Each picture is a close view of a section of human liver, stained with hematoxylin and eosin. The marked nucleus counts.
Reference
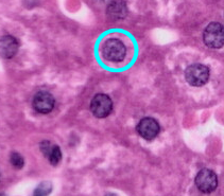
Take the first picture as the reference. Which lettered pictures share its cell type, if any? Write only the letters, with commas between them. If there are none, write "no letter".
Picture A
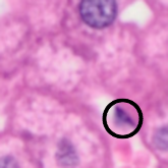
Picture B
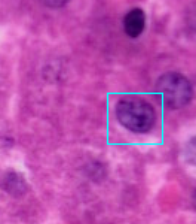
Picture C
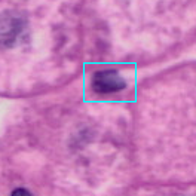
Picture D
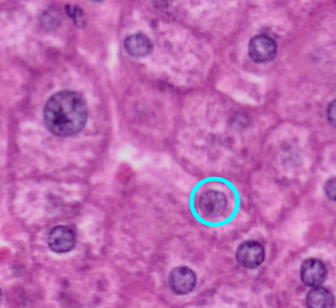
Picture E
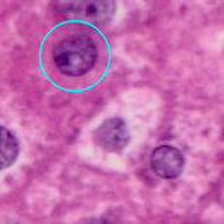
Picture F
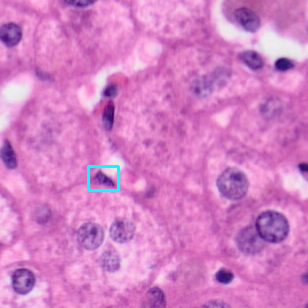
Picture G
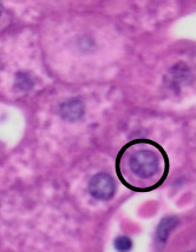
B, D, E, G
